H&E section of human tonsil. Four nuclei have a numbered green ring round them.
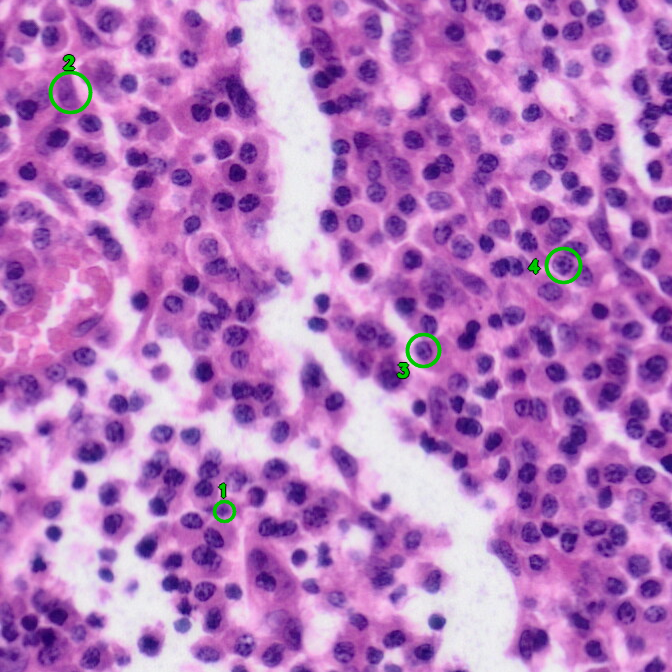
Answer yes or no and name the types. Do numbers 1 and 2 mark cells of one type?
No, cell 1 is a plasma cell and cell 2 is a squamous epithelial cell.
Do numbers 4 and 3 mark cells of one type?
Yes, both are plasma cells.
